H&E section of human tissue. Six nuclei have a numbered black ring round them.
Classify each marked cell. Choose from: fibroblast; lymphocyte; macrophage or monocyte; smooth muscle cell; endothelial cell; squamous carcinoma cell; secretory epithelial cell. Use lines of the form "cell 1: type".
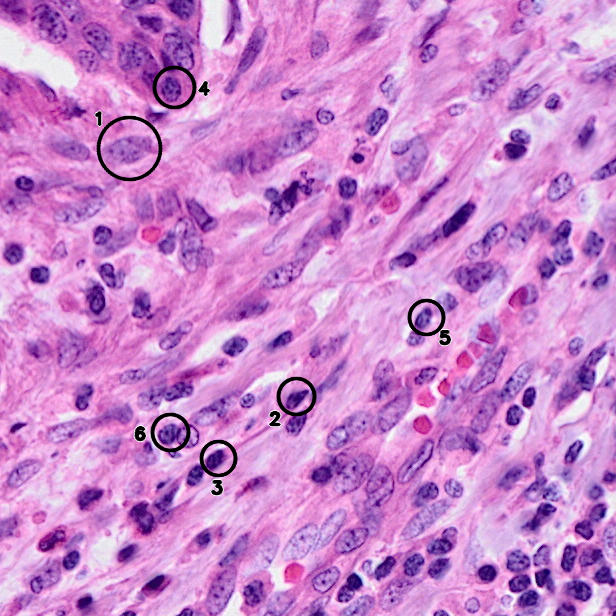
cell 1: fibroblast
cell 2: lymphocyte
cell 3: lymphocyte
cell 4: squamous carcinoma cell
cell 5: lymphocyte
cell 6: lymphocyte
